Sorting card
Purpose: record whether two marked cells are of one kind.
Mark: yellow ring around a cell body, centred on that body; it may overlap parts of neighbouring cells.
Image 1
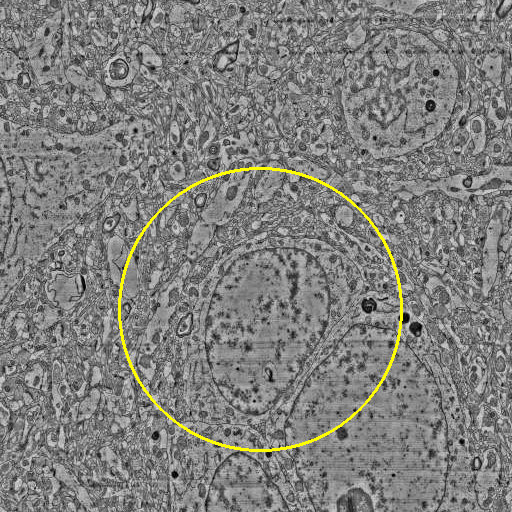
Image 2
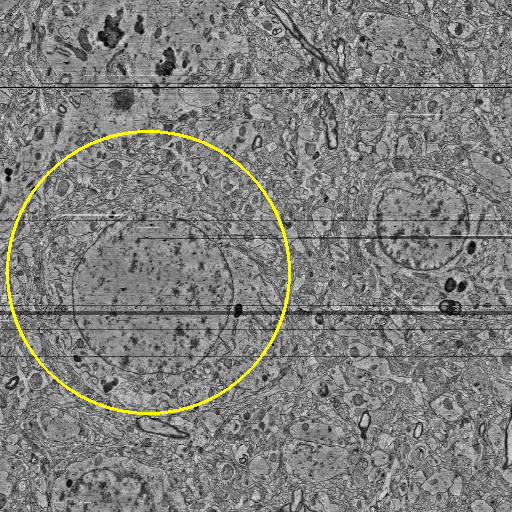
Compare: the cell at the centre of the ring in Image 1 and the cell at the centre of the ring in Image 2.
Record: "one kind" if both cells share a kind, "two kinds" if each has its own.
one kind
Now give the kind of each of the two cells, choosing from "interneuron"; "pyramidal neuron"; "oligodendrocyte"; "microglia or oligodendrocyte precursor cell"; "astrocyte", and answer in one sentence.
The cell in the first picture is a pyramidal neuron, and so is the one in the second.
